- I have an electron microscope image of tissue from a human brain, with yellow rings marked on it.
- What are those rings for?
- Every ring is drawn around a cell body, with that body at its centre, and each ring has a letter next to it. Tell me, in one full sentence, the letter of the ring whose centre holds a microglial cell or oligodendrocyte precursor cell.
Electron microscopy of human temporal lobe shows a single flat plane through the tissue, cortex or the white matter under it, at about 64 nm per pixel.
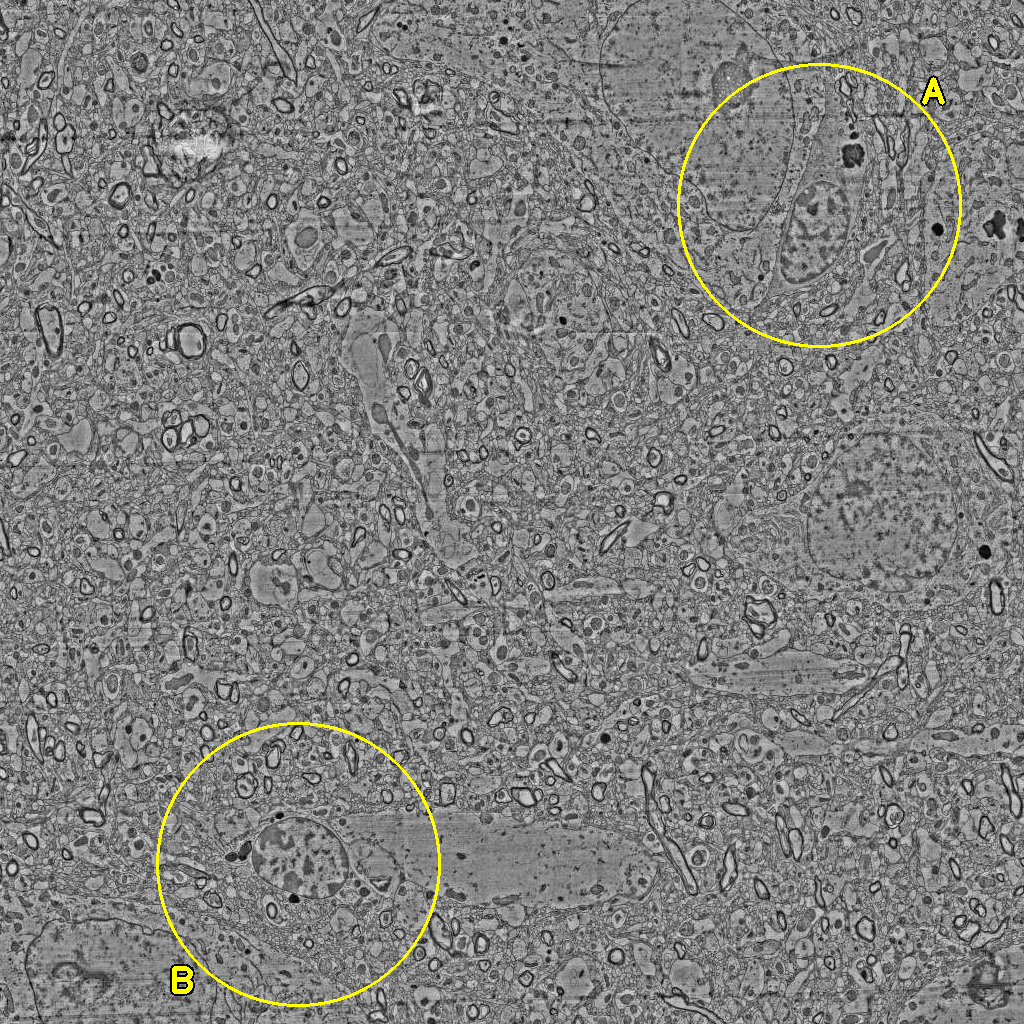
In the picture, the cell asked for sits at the centre of ring B.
